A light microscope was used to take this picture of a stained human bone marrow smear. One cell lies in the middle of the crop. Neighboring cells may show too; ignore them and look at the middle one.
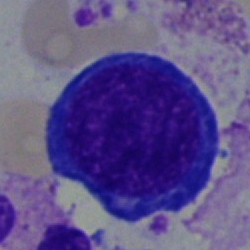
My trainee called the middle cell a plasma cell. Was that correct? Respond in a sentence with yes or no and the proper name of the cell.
No, that guess of a plasma cell misses; the central cell is a proerythroblast.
